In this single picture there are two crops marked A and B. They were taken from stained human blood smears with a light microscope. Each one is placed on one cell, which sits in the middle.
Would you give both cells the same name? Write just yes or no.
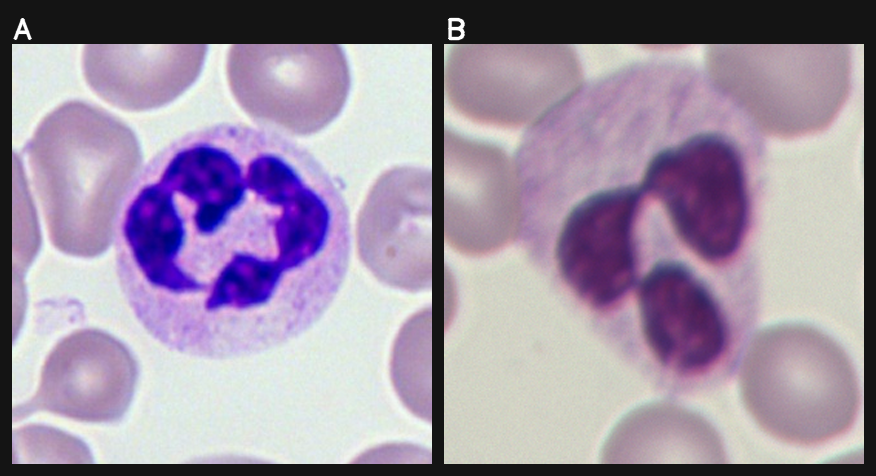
yes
